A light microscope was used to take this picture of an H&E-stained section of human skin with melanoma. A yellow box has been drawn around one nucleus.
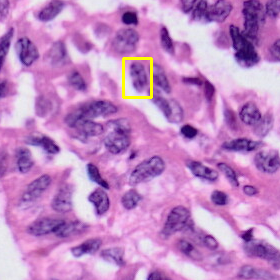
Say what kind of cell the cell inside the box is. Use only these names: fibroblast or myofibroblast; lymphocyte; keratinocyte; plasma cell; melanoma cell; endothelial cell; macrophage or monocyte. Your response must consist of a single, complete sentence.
Assigned to a cell type, the cell inside the box is a melanoma cell.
